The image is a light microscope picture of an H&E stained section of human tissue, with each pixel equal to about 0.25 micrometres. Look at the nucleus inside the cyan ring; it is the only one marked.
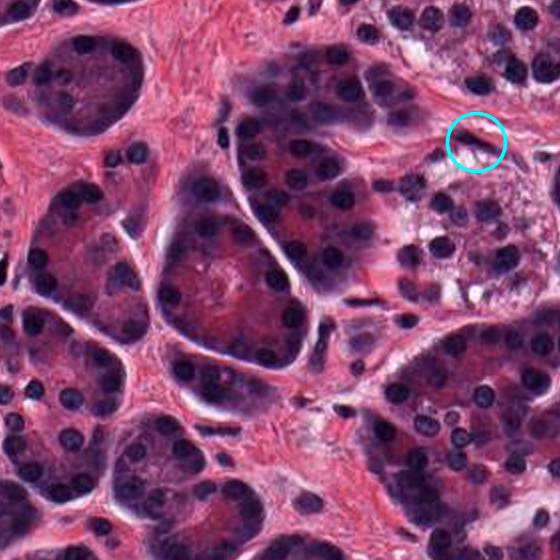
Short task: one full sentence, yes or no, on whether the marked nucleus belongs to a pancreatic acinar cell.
No, the marked nucleus is not part of a pancreatic acinar cell and instead belongs to a supporting cell.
